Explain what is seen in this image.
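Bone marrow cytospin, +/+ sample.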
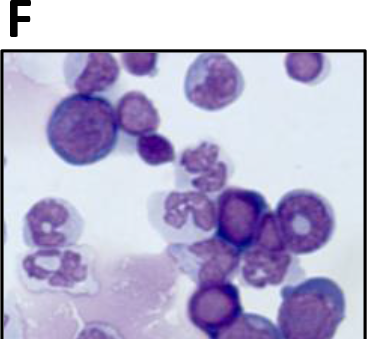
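Several large cells have round purple nuclei and a rim of deep blue cytoplasm. Other cells have ring-shaped or segmented purple nuclei in paler cytoplasm. None of the cells shows small, dense, fragmented nuclear material.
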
